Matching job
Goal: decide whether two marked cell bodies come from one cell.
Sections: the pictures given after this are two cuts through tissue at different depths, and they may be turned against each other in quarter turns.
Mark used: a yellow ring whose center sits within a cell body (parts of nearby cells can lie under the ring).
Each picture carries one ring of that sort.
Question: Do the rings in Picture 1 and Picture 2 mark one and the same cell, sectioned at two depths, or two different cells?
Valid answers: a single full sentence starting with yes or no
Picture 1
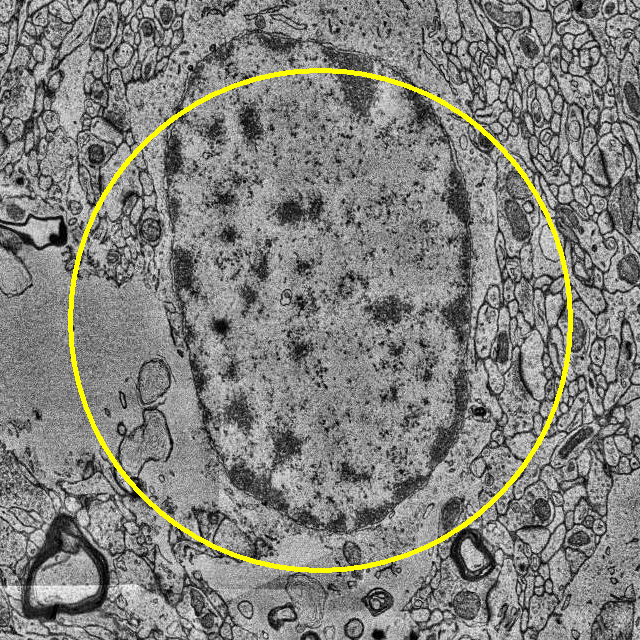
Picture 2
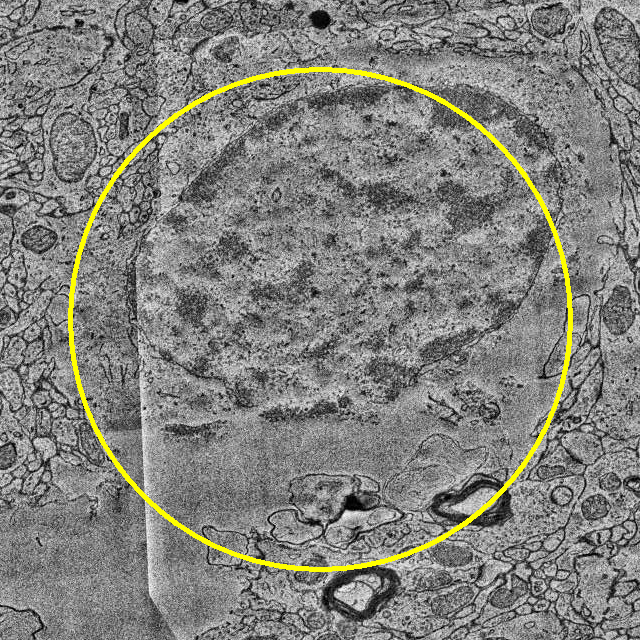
Yes, one cell is ringed in yellow twice over.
